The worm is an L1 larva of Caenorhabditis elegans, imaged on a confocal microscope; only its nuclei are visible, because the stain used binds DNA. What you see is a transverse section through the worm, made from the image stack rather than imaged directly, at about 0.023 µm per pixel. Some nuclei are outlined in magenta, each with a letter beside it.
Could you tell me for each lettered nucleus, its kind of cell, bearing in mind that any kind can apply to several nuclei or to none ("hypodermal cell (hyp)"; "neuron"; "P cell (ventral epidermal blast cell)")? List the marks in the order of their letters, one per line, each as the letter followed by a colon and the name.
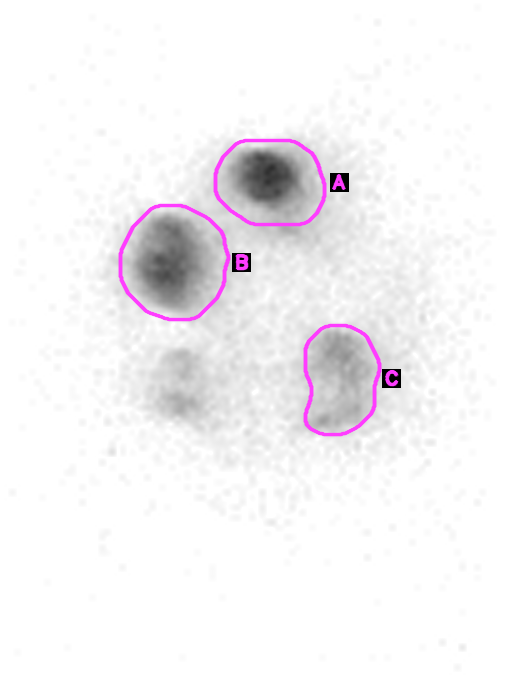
A: neuron
B: P cell (ventral epidermal blast cell)
C: hypodermal cell (hyp)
